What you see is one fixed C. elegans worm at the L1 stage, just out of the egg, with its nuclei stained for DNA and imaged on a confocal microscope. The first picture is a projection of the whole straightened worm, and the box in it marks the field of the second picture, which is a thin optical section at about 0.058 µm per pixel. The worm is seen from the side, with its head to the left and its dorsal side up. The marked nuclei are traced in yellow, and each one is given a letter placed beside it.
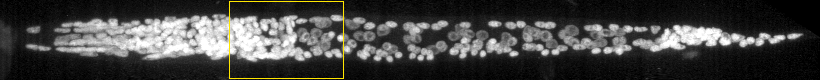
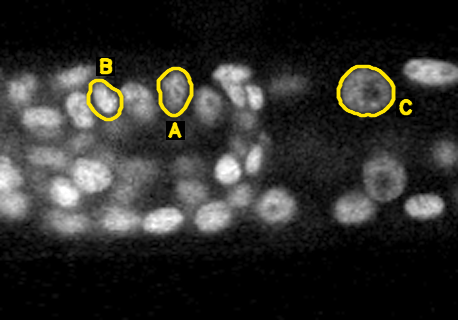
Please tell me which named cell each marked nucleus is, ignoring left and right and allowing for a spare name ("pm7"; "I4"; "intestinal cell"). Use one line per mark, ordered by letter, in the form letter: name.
A: pm7
B: I4
C: intestinal cell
